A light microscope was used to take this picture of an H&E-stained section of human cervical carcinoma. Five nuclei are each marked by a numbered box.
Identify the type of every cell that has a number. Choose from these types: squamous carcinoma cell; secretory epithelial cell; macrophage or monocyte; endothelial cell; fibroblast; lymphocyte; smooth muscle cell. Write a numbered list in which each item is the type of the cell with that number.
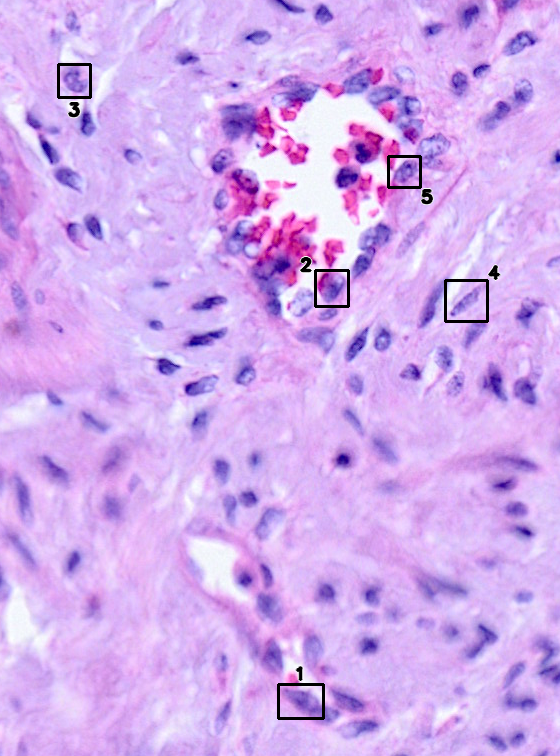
1. endothelial cell
2. endothelial cell
3. macrophage or monocyte
4. fibroblast
5. endothelial cell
